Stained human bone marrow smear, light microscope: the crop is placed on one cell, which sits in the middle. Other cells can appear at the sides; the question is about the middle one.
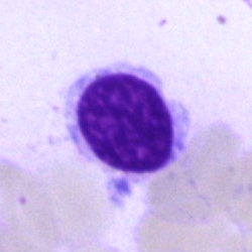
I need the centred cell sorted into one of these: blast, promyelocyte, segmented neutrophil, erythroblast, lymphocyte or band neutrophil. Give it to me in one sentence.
The cell in the exact centre of the crop is a lymphocyte.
